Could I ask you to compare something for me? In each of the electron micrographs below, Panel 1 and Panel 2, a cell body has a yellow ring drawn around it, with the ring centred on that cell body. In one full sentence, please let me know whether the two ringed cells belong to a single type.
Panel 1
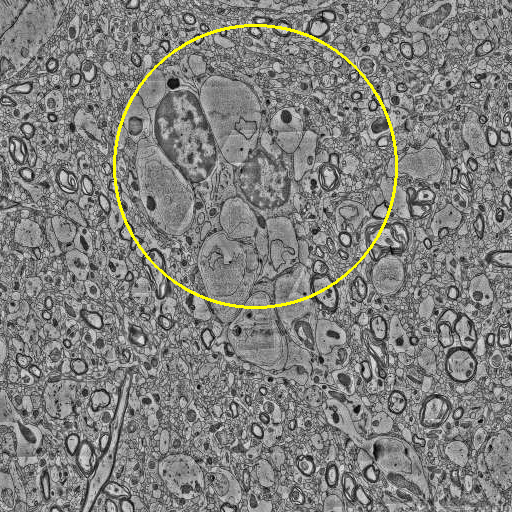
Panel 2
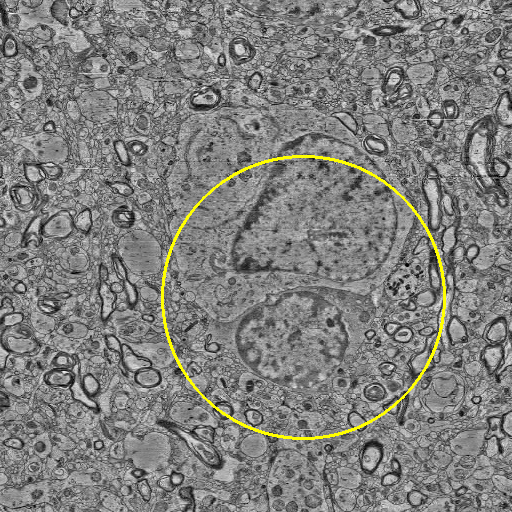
Yes, the two cells at the centres of the rings are of one type.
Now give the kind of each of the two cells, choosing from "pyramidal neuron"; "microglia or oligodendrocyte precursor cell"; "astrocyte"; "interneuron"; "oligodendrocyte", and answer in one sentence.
The ring centre holds an oligodendrocyte in each of the two pictures.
